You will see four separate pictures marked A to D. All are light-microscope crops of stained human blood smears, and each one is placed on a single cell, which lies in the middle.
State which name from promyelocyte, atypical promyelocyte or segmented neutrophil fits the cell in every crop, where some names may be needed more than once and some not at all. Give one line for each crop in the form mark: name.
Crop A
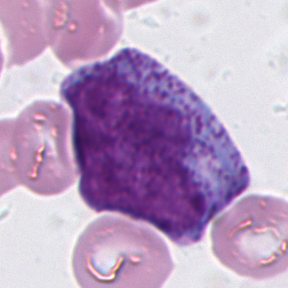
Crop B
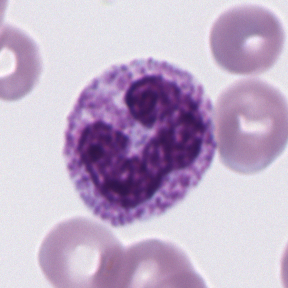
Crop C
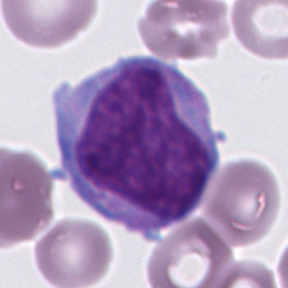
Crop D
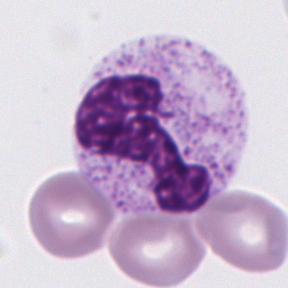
A: promyelocyte
B: segmented neutrophil
C: atypical promyelocyte
D: segmented neutrophil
